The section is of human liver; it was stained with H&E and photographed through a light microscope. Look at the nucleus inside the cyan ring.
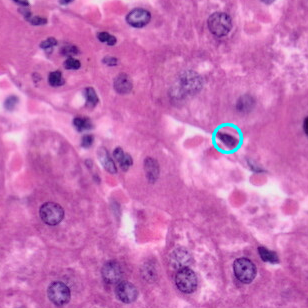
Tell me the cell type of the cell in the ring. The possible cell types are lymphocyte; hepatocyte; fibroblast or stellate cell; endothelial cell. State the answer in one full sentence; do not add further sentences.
In the tissue under study, the cell in the ring is a fibroblast or stellate cell.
